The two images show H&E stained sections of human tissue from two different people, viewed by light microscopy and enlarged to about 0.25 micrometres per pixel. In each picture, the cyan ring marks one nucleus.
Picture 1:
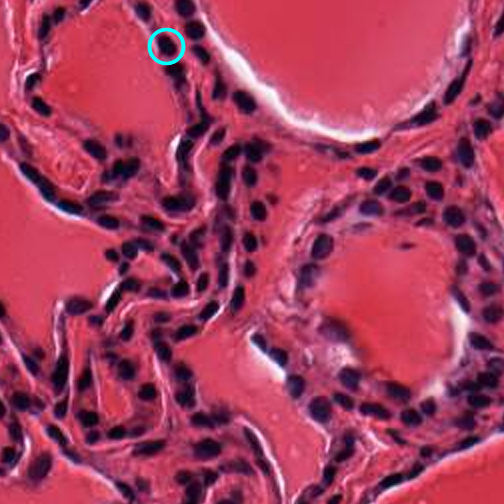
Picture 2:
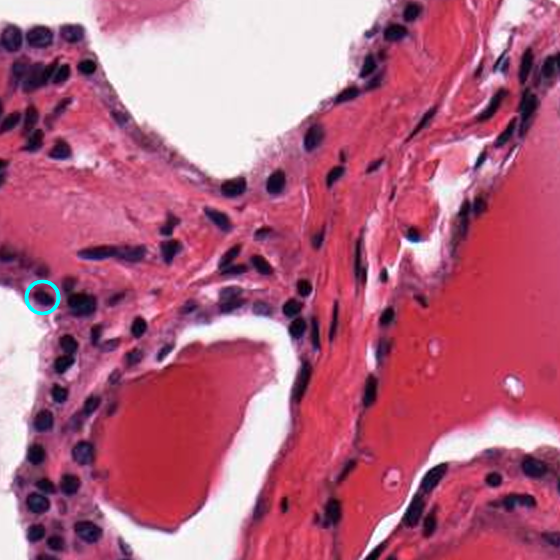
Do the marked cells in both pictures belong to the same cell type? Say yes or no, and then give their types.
Yes, both are thyroid follicular cells.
